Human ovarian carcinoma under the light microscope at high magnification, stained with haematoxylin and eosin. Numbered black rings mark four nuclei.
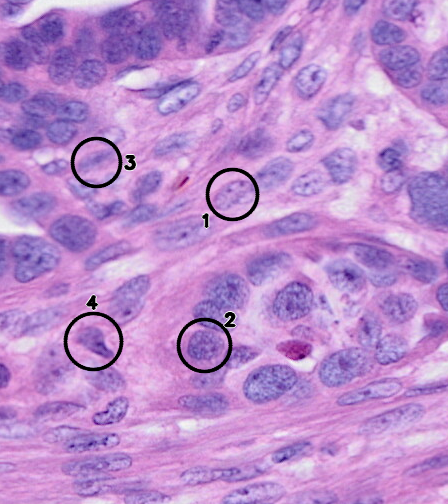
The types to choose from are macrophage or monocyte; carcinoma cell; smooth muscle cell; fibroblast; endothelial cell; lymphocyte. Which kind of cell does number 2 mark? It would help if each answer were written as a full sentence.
In this section, number 2 marks a carcinoma cell.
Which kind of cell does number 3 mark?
The numbered cell 3 in this field is a fibroblast.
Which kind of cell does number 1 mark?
The cell identified by number 1 is a fibroblast.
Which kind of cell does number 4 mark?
In this section, number 4 marks a macrophage or monocyte.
